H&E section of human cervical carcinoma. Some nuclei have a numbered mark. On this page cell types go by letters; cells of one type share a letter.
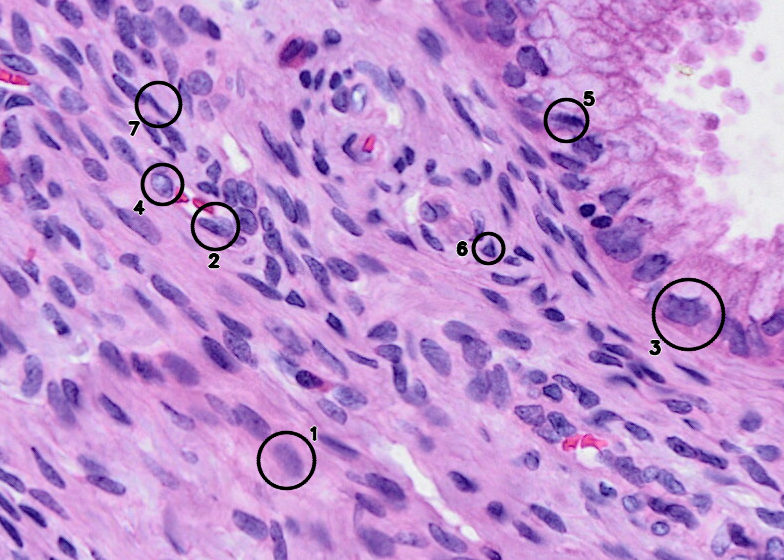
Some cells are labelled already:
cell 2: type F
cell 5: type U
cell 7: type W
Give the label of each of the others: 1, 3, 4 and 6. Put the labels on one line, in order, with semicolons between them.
type W; type U; type F; type W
